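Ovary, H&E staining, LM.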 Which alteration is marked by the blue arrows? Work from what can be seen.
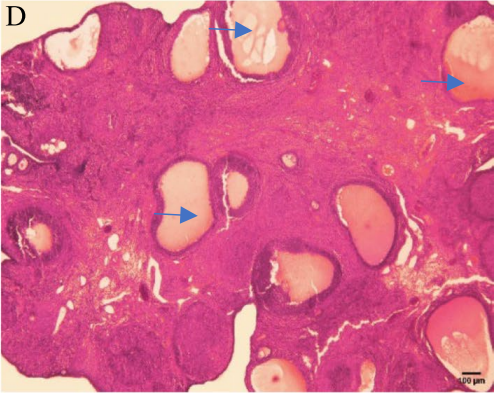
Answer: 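Numerous large cavities filled with pale pink fluid scattered through the ovary. The cavities have thin linings and no egg cell is visible within most. Stroma between them is dense and pink.
Hence: cysts.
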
